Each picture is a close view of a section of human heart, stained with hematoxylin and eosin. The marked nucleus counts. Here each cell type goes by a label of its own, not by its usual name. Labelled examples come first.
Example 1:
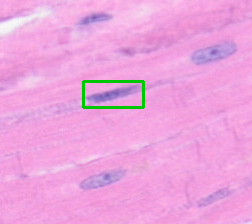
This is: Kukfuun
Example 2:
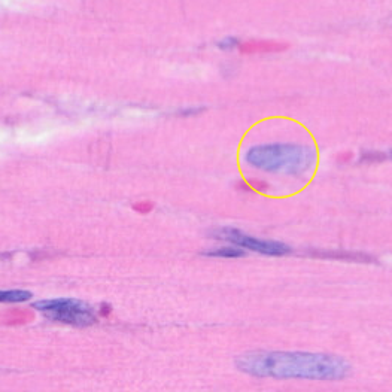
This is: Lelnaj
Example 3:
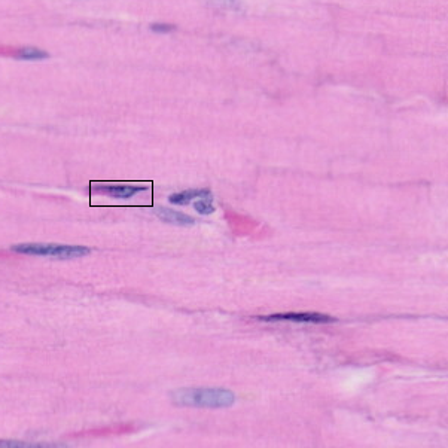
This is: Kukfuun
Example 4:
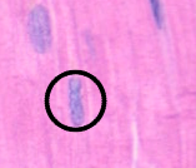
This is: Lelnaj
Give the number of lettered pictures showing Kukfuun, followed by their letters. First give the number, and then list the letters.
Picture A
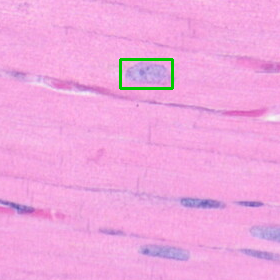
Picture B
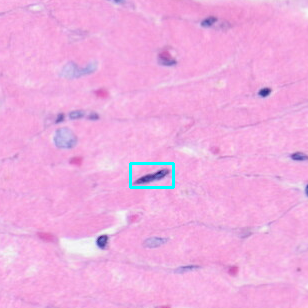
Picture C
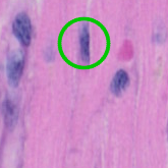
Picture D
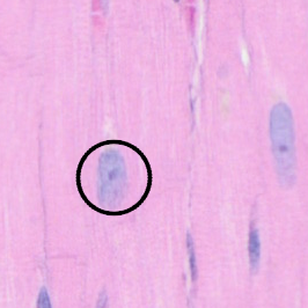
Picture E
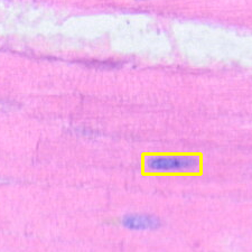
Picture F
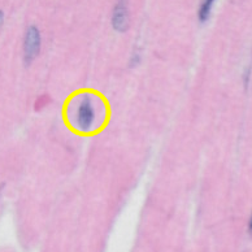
Count: 3 (B, C, F)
